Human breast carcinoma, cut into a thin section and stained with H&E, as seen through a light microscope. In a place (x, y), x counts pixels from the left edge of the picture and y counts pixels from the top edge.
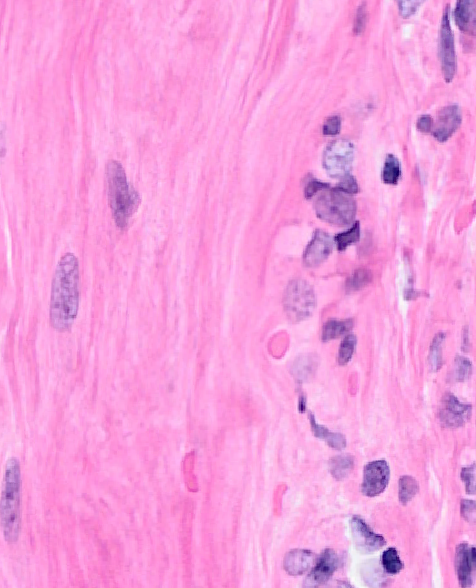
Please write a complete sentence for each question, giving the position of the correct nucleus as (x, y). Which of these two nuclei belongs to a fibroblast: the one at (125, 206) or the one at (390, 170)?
The member of the pair belonging to a fibroblast is the nucleus at (125, 206).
